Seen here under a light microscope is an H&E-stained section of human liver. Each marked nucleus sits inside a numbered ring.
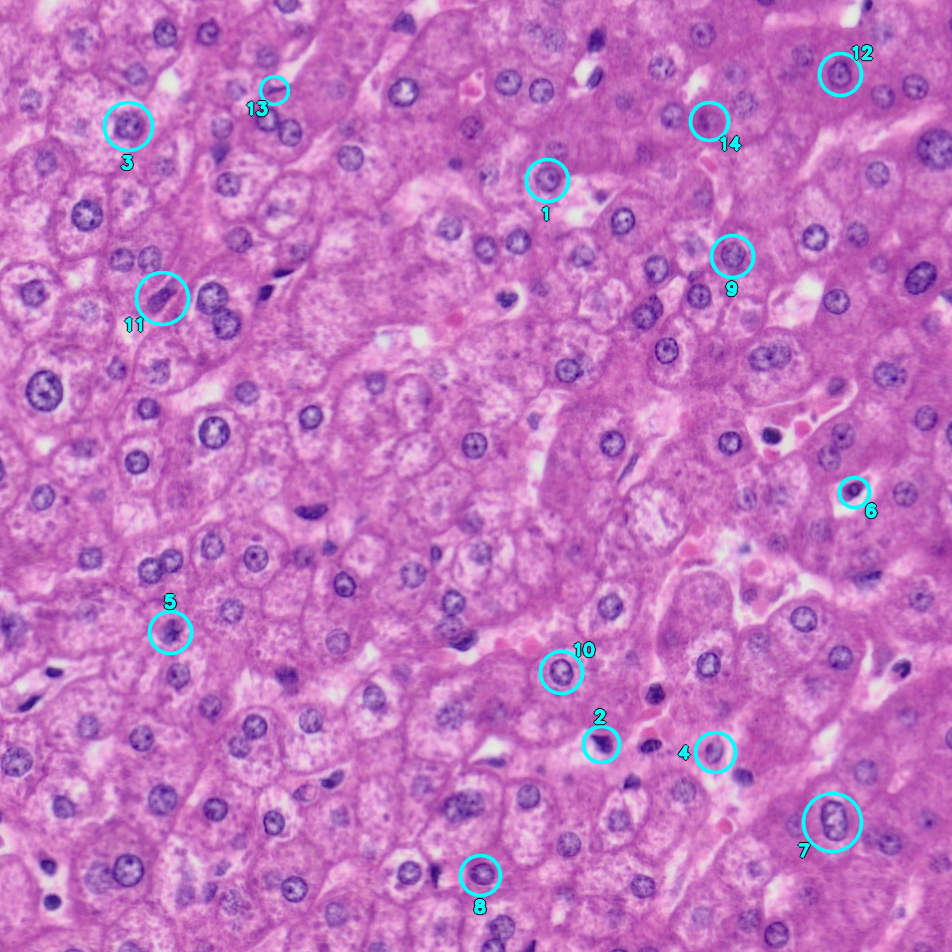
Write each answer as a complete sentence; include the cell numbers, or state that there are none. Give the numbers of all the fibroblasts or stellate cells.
Cell 13 is a fibroblast or stellate cell; every other numbered cell is something else.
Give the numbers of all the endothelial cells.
Identified as endothelial cells are the cells numbered 2 and 5.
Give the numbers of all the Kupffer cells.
The cells shown with numbers 4, 6 and 11 are Kupffer cells.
